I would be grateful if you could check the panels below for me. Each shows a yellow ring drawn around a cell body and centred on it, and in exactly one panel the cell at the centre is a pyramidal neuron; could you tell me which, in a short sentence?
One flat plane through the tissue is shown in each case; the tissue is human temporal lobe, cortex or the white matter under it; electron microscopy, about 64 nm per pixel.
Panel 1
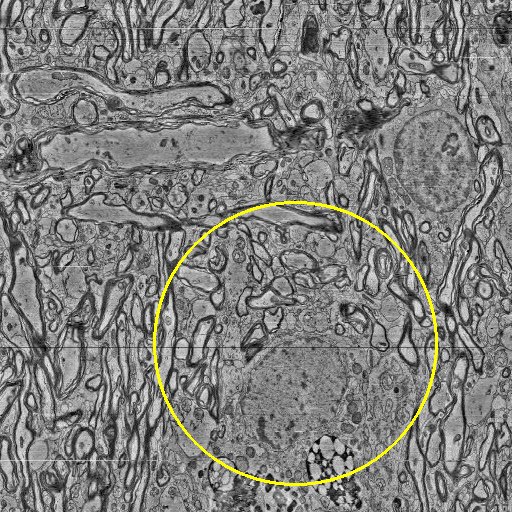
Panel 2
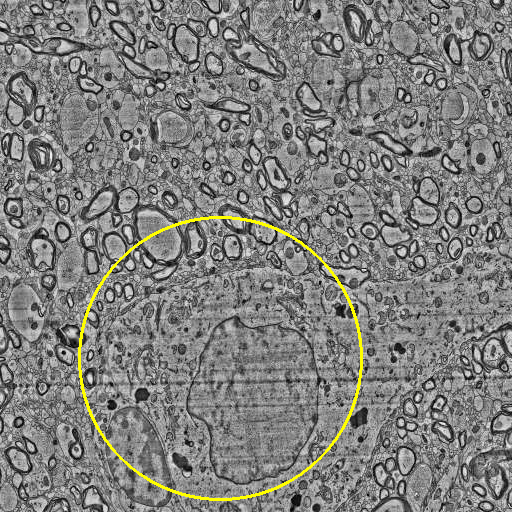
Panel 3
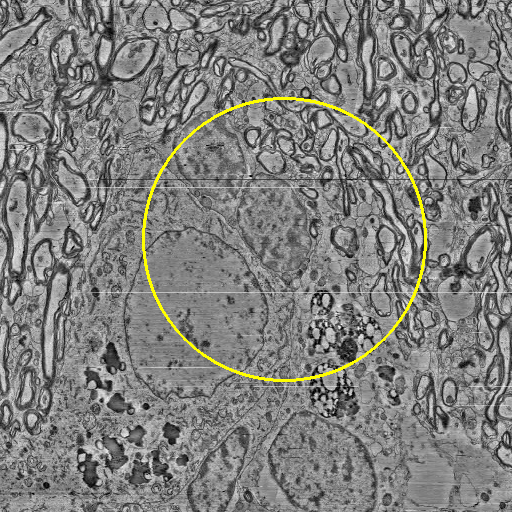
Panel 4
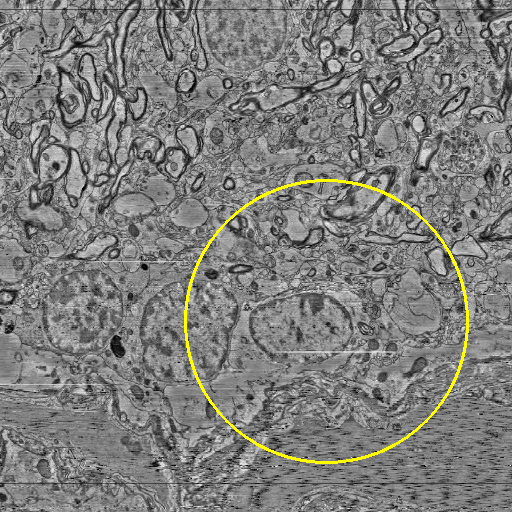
The ring in Panel 2 is centred on it.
